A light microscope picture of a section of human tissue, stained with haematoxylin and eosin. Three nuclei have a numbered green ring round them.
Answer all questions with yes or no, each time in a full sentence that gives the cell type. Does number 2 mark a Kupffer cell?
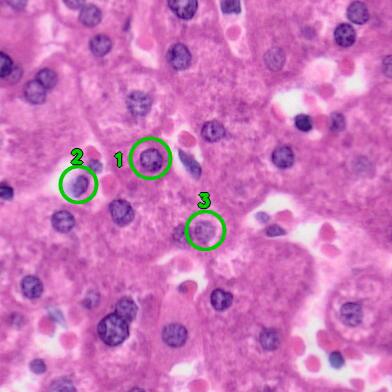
Yes, the cell whose number is 2 is a Kupffer cell.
